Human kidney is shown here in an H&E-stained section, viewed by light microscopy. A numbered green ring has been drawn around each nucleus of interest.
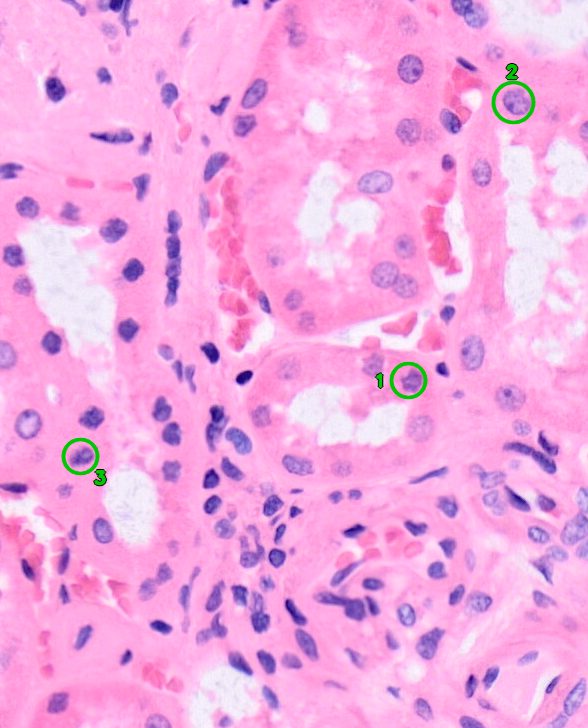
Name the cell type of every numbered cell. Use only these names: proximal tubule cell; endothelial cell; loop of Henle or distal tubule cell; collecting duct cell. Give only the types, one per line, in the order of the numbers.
proximal tubule cell
proximal tubule cell
loop of Henle or distal tubule cell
